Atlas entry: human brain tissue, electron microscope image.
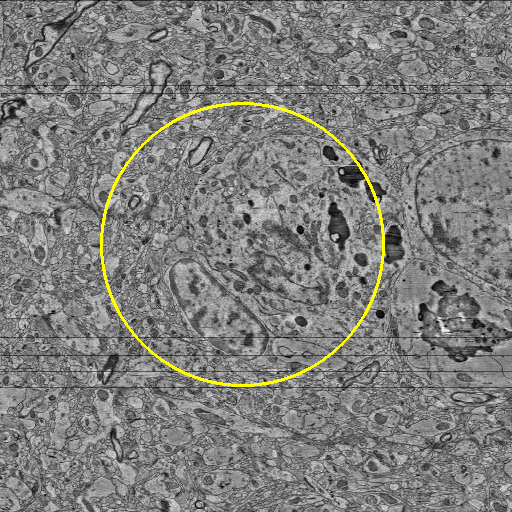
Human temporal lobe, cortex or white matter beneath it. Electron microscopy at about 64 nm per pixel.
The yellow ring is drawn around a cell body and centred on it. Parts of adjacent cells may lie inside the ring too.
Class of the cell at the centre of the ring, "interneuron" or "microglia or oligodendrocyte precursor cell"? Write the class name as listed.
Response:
interneuron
